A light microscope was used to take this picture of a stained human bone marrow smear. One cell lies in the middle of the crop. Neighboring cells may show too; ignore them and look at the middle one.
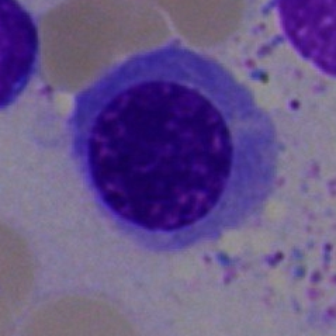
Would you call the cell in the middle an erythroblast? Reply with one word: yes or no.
yes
